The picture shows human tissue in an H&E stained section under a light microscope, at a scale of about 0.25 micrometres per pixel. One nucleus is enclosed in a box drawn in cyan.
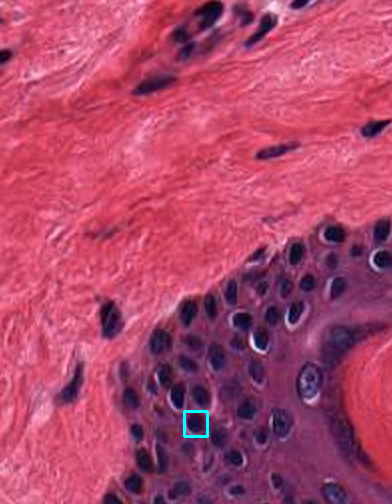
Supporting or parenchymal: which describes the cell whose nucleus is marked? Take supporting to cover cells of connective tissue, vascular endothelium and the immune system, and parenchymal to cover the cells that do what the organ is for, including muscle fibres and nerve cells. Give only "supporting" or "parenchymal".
parenchymal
